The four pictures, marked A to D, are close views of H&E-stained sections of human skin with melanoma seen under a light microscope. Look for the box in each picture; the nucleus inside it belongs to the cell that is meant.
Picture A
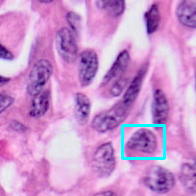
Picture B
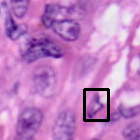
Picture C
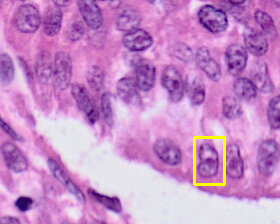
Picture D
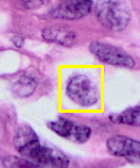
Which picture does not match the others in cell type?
B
